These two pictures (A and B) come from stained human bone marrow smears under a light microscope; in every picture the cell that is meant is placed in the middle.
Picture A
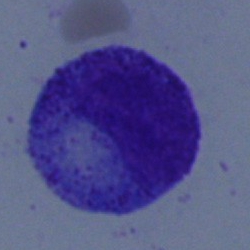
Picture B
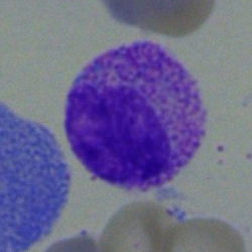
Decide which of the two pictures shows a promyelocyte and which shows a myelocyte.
A: promyelocyte
B: myelocyte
